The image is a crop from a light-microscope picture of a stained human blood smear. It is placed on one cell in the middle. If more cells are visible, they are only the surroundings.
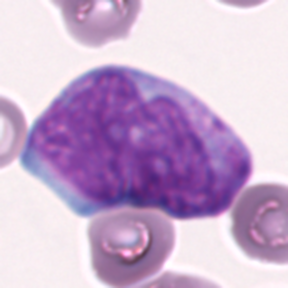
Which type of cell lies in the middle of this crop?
atypical promyelocyte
